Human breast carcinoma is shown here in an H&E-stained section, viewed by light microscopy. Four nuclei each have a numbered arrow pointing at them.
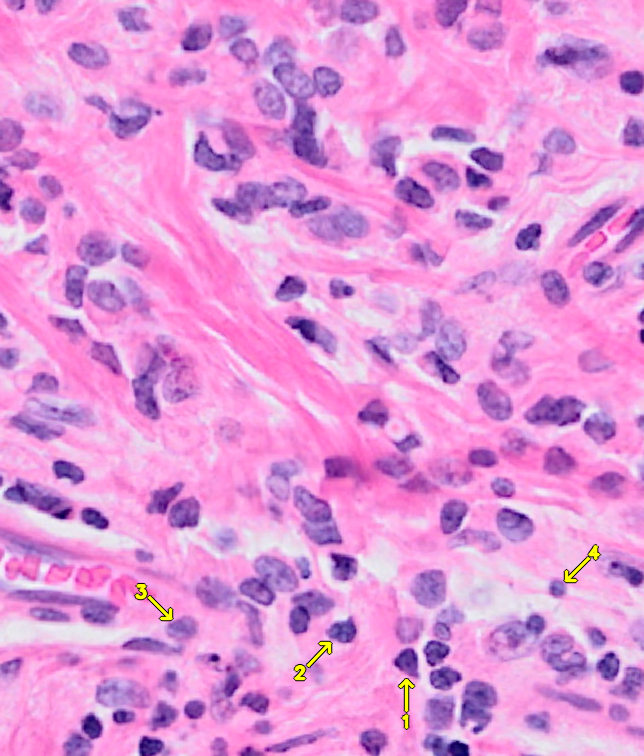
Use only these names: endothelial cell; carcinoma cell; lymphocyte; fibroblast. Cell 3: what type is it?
endothelial cell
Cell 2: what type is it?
lymphocyte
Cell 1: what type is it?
lymphocyte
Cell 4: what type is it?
lymphocyte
